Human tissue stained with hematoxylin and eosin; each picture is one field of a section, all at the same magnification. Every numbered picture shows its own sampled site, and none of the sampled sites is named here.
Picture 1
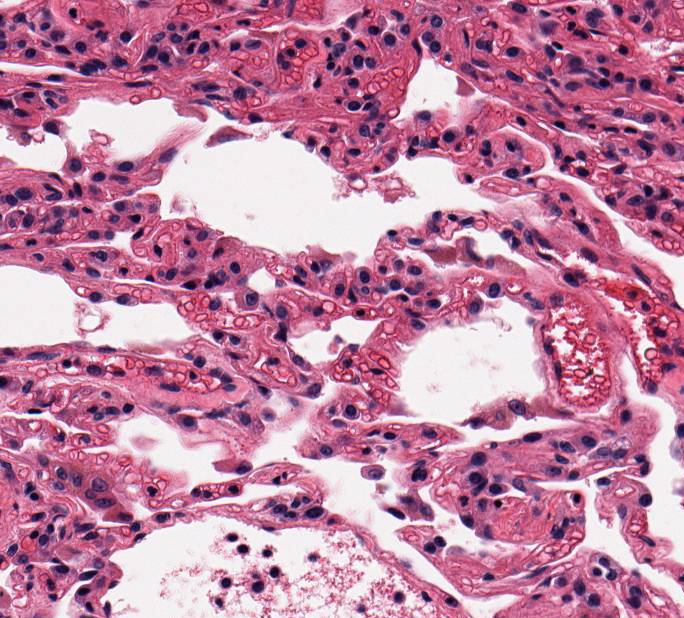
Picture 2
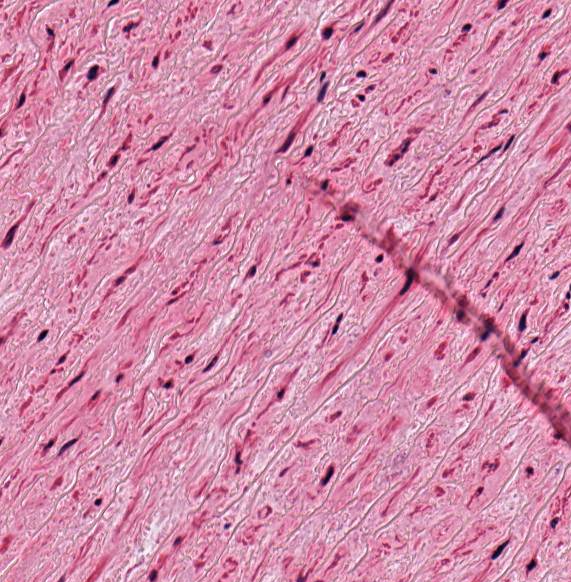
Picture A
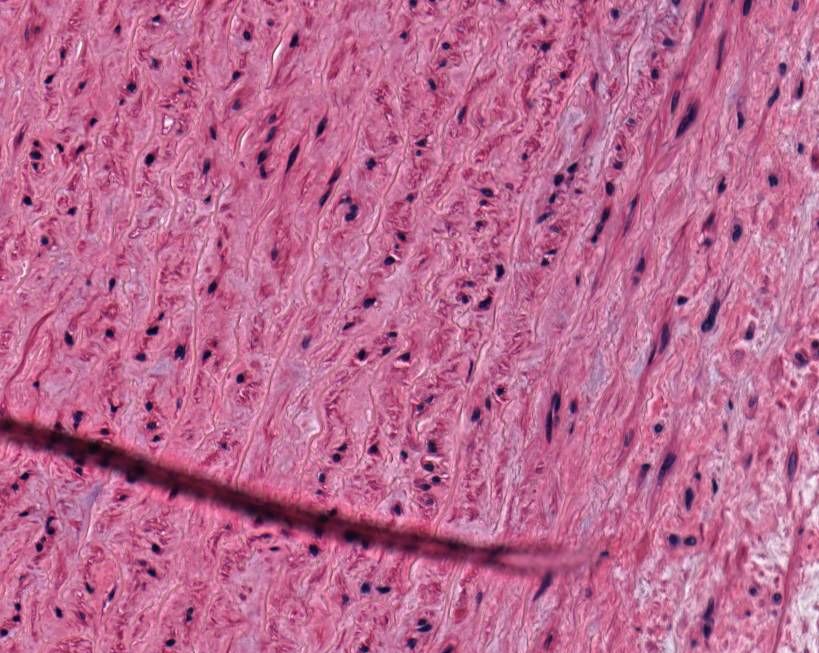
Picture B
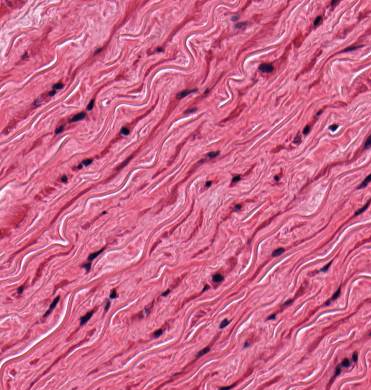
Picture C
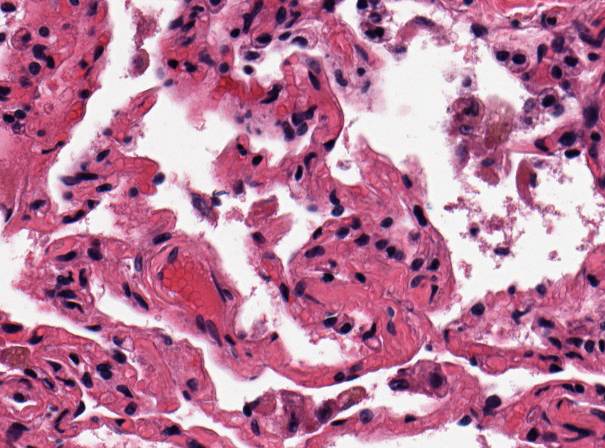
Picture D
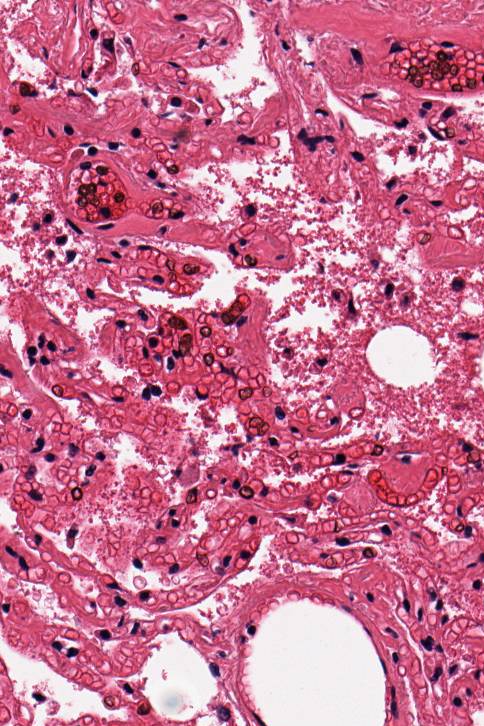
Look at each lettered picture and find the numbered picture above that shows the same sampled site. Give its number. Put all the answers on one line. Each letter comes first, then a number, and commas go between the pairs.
A 2, B 2, C 1, D 1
